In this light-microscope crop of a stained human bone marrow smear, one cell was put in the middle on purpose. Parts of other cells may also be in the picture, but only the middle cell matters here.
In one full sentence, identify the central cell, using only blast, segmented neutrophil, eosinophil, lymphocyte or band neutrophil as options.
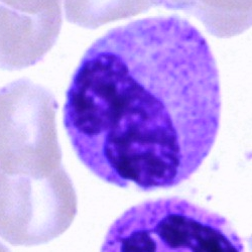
Classification of the middle cell gives a band neutrophil.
